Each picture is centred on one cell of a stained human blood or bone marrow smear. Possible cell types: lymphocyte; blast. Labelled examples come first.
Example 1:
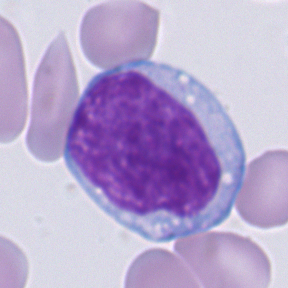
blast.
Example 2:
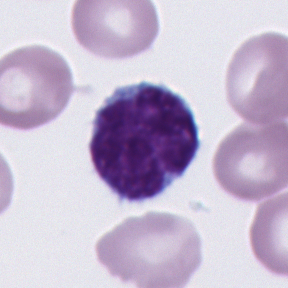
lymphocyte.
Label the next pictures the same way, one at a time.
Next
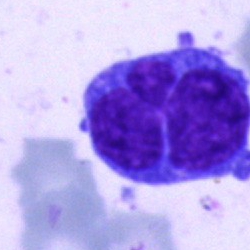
blast.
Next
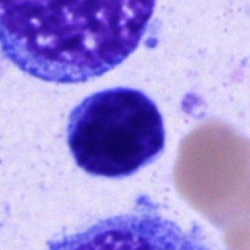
lymphocyte.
